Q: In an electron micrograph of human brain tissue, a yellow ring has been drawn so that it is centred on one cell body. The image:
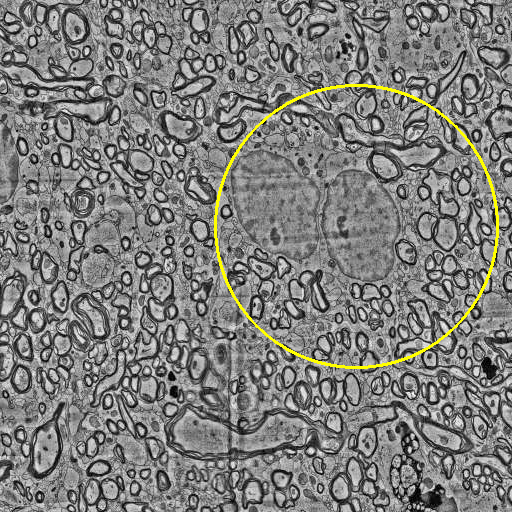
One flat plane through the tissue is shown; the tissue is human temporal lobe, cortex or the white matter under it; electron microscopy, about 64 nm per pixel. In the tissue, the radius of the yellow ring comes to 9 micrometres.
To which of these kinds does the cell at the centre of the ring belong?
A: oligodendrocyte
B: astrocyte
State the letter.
A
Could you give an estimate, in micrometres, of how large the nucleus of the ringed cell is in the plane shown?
Roughly 7 micrometres by 5 micrometres, in this plane.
